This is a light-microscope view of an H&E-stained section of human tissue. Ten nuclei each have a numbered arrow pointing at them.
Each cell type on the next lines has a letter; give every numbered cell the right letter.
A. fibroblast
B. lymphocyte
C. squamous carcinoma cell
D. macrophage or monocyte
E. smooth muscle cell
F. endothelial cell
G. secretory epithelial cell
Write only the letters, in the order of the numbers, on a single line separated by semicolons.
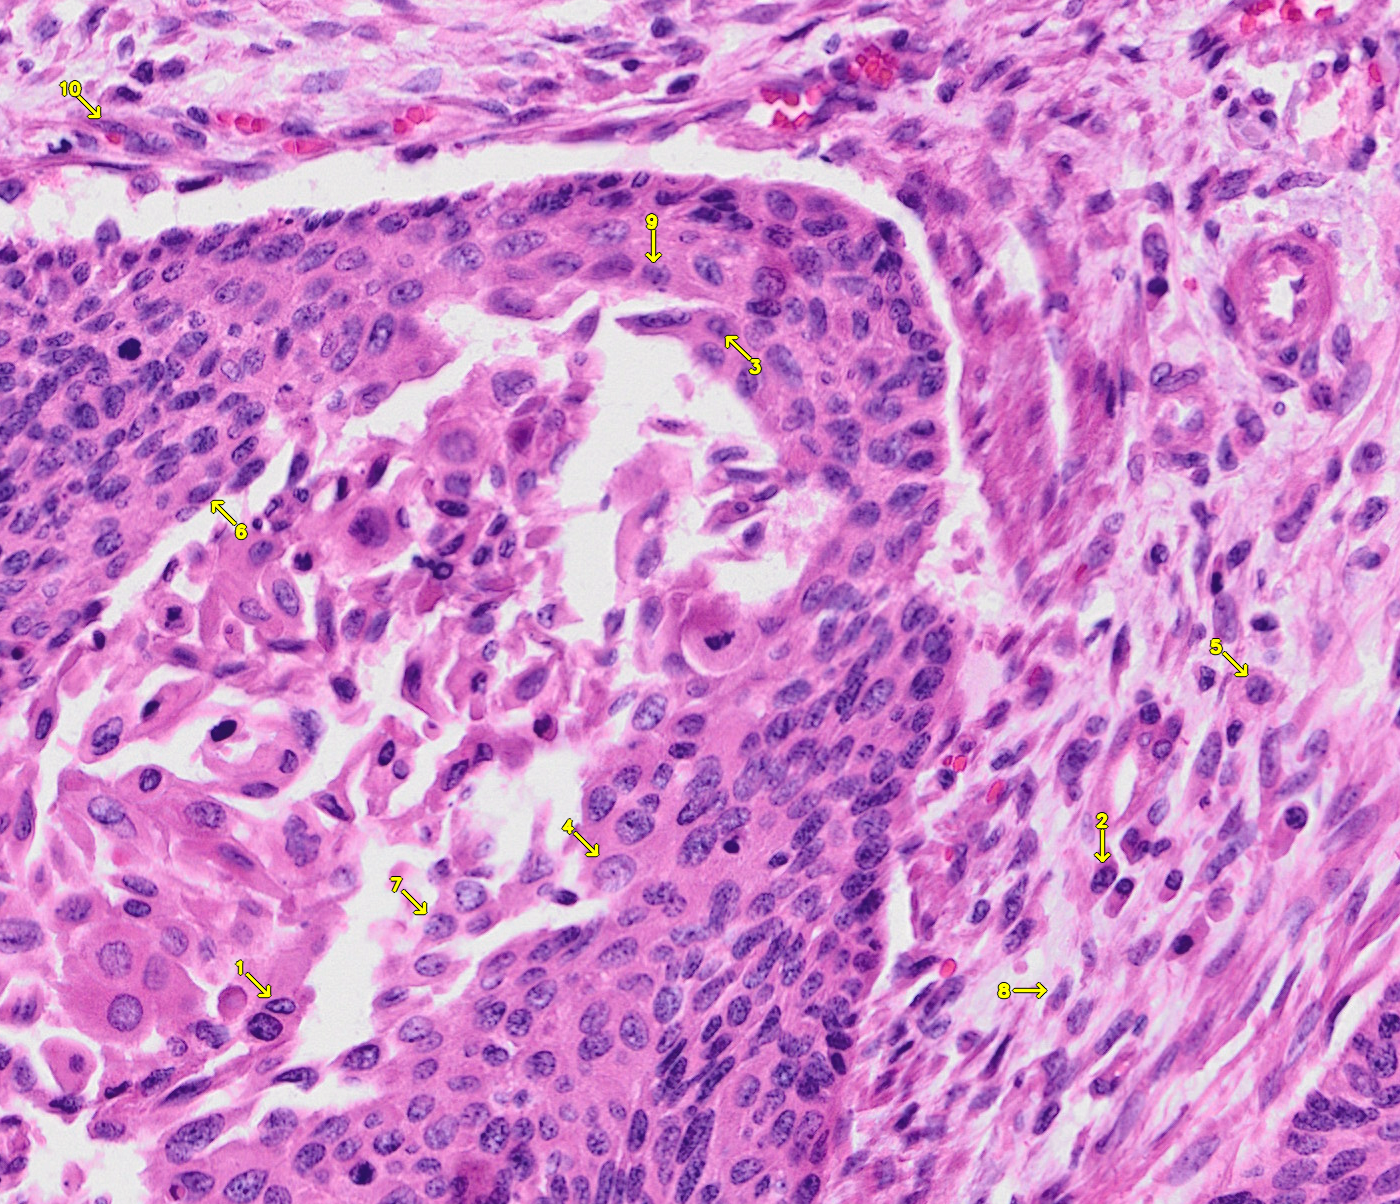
C; D; C; C; D; C; C; A; C; F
